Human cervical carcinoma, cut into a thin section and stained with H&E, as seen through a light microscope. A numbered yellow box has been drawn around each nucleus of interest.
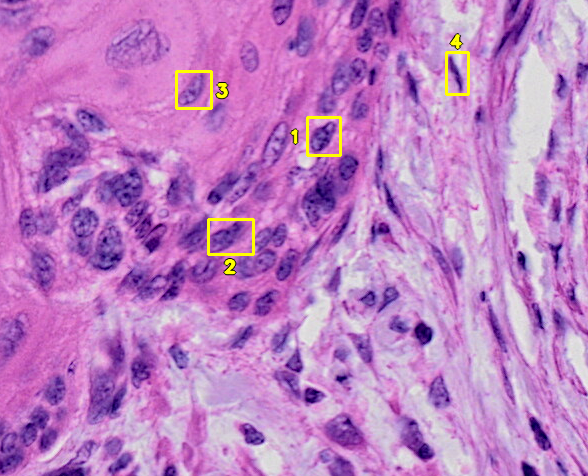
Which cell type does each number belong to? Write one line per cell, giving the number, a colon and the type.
1: squamous carcinoma cell
2: squamous carcinoma cell
3: squamous carcinoma cell
4: fibroblast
